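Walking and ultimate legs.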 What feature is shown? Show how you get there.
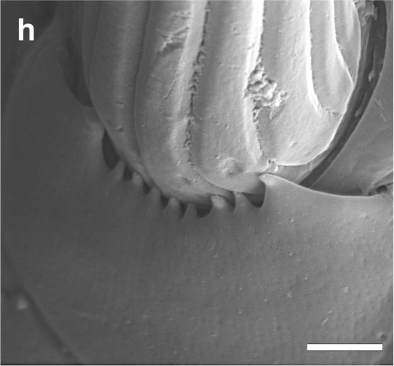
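The rim of the socket around the hair base carries a row of small teeth. The hair base is ribbed. So: multidentate socket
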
